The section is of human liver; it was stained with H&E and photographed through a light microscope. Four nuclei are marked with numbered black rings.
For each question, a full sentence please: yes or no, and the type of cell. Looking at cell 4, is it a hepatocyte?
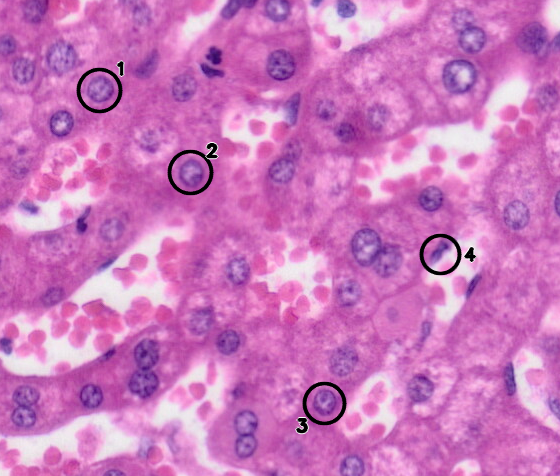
No, an endothelial cell, not a hepatocyte, is the cell with number 4.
